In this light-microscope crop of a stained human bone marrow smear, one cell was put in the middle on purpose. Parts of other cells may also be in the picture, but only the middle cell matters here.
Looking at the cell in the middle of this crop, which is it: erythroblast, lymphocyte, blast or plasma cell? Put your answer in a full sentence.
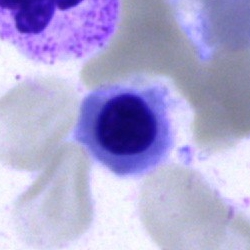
At the center of the crop sits an erythroblast.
